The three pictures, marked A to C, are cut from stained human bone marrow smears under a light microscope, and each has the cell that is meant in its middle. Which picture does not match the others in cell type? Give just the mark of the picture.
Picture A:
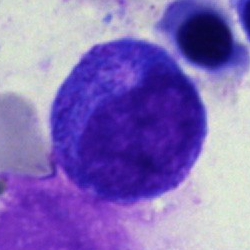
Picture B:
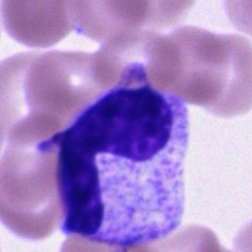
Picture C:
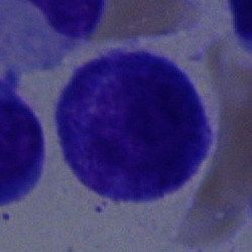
B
